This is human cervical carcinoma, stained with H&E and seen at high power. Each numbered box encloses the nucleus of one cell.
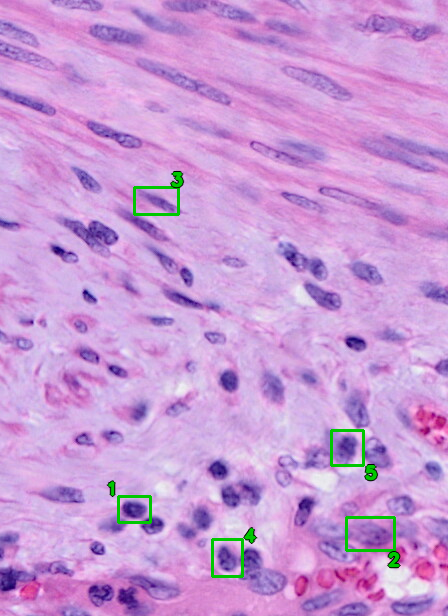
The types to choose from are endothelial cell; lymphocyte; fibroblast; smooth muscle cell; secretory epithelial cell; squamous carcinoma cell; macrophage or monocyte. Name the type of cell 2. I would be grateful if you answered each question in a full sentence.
The marked cell with the number 2 is recognised as an endothelial cell.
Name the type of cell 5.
Cell 5, as marked in the section, is a lymphocyte.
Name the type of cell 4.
Cell 4 in the field of view is a lymphocyte.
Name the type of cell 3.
The cell bearing label 3 corresponds to a smooth muscle cell.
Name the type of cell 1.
The cell tagged with 1 in this tissue section is a lymphocyte.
